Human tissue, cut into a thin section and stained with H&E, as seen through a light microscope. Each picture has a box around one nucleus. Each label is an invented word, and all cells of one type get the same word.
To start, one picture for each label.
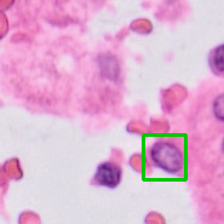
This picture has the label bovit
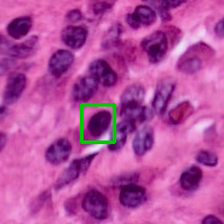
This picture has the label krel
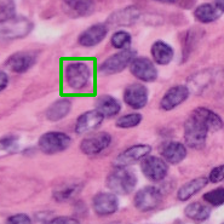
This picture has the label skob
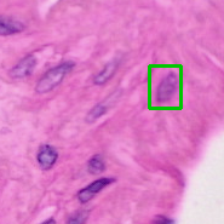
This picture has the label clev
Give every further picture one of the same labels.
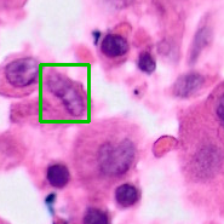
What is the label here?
bovit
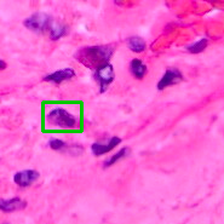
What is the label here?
krel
